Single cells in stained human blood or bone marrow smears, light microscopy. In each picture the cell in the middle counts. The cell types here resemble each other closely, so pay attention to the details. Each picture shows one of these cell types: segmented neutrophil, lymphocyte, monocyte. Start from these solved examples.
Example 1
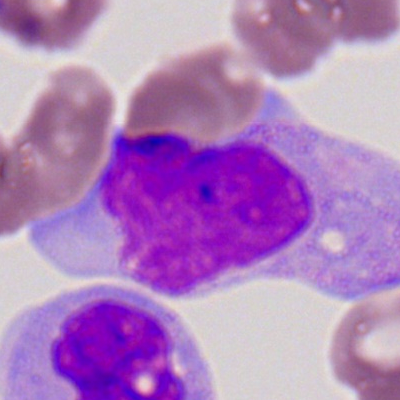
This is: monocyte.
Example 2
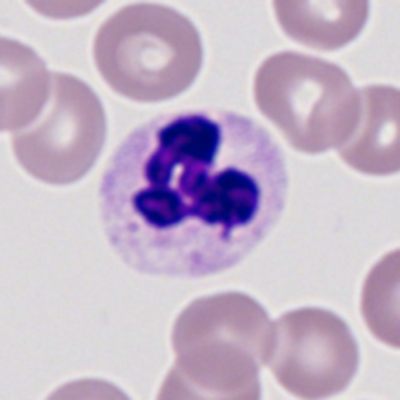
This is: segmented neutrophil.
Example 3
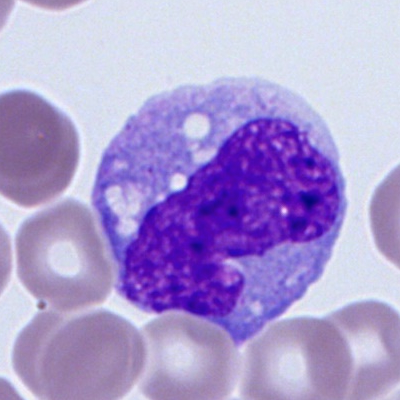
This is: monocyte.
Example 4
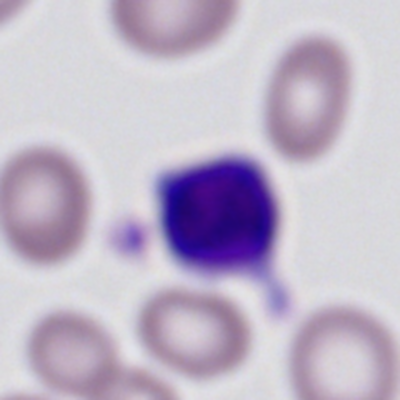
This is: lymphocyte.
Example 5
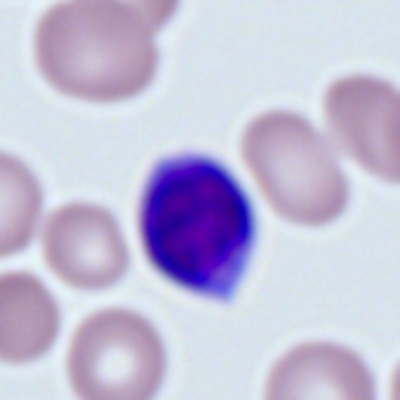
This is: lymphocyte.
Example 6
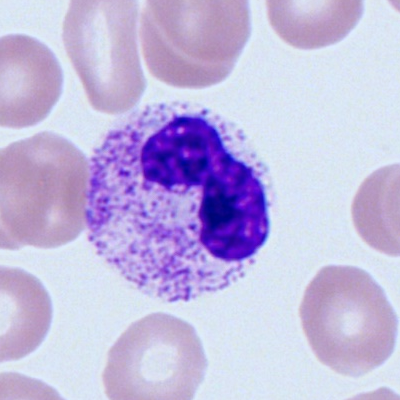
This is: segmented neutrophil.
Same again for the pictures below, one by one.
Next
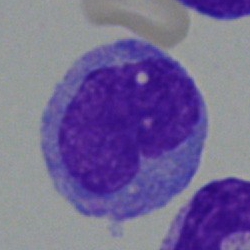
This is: monocyte.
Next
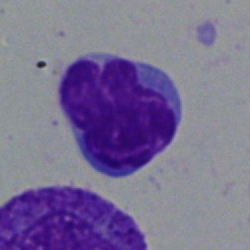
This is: lymphocyte.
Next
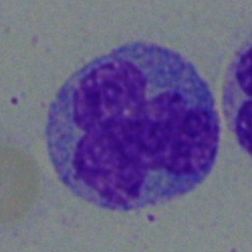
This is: monocyte.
